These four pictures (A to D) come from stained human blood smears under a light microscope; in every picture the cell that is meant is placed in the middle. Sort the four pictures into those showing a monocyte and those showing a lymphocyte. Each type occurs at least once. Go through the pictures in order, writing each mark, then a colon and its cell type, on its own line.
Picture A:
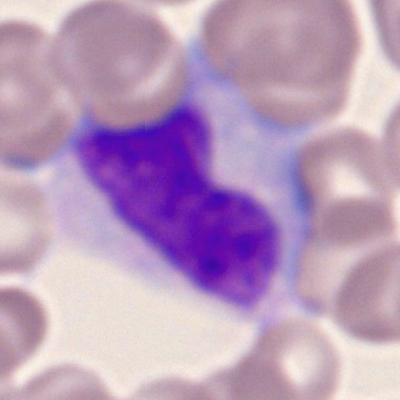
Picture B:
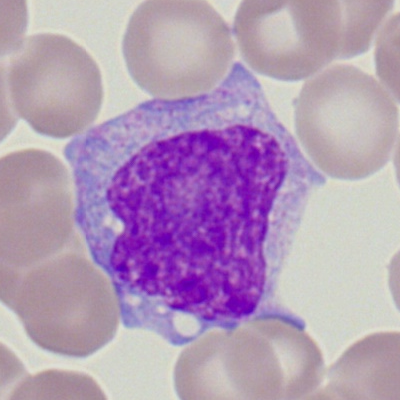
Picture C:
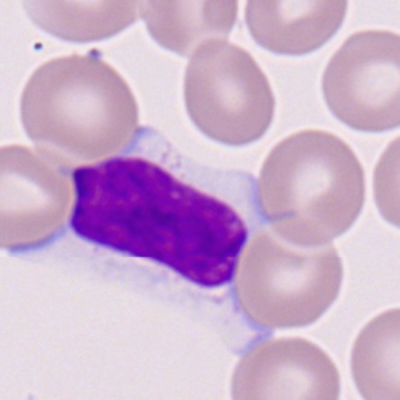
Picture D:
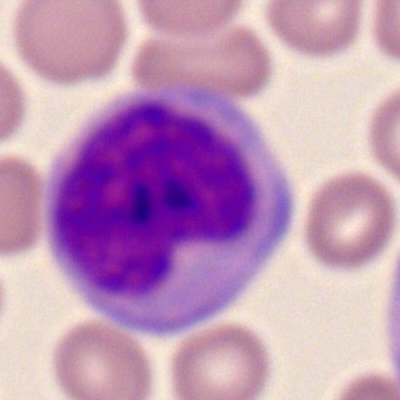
A: monocyte
B: monocyte
C: lymphocyte
D: monocyte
